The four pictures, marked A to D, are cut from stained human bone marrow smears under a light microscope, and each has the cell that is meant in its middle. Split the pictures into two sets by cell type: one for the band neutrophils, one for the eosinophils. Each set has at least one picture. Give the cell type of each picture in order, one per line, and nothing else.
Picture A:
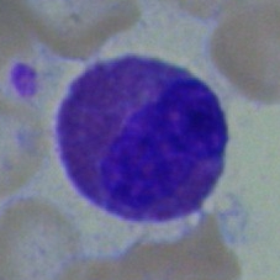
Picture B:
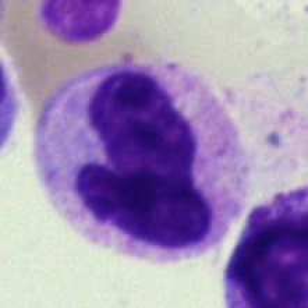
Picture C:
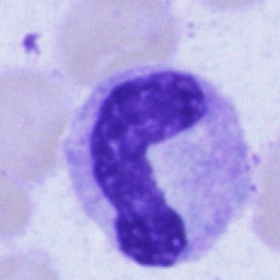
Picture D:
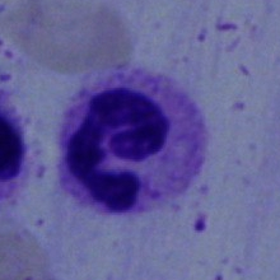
eosinophil
band neutrophil
band neutrophil
band neutrophil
